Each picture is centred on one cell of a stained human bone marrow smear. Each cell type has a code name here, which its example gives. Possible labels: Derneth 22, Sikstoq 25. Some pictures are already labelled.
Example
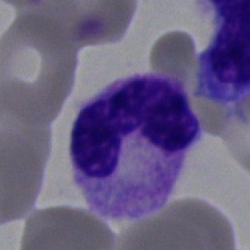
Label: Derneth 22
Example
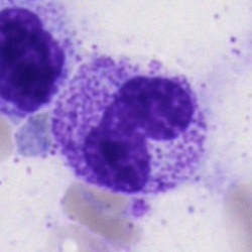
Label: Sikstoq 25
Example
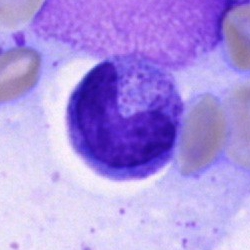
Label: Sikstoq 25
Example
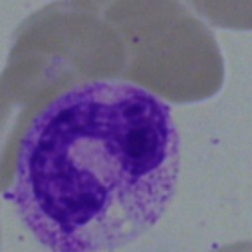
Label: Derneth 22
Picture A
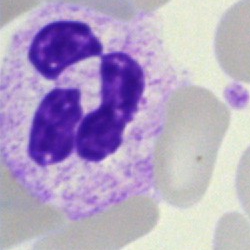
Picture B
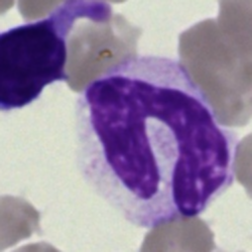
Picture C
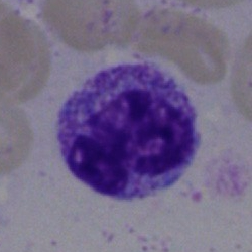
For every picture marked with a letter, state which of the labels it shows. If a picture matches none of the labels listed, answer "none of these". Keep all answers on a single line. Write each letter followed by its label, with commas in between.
A none of these, B Derneth 22, C Sikstoq 25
